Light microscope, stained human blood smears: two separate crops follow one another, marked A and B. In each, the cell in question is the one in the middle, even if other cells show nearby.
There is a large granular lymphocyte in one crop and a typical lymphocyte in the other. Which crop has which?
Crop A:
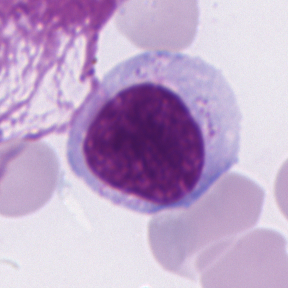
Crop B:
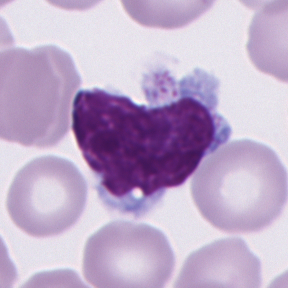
A: large granular lymphocyte
B: typical lymphocyte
